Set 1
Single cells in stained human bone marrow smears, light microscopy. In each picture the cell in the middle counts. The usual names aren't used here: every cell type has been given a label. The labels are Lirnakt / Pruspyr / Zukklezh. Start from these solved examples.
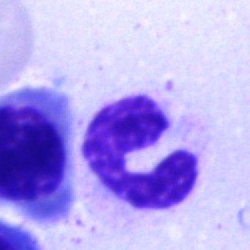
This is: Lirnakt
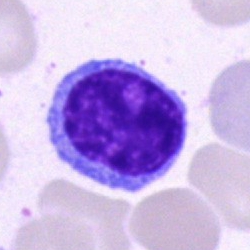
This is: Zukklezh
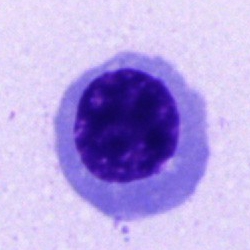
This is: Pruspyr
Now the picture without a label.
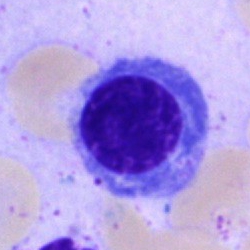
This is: Pruspyr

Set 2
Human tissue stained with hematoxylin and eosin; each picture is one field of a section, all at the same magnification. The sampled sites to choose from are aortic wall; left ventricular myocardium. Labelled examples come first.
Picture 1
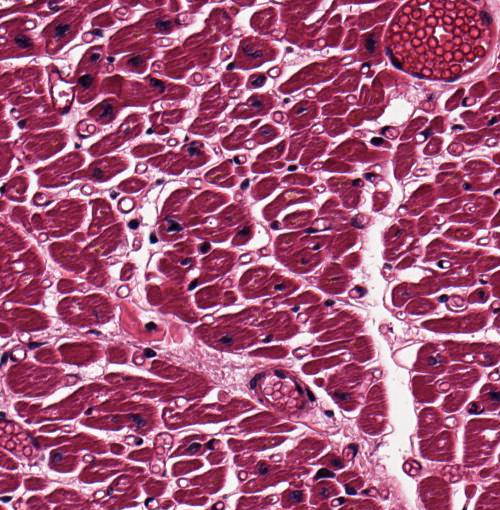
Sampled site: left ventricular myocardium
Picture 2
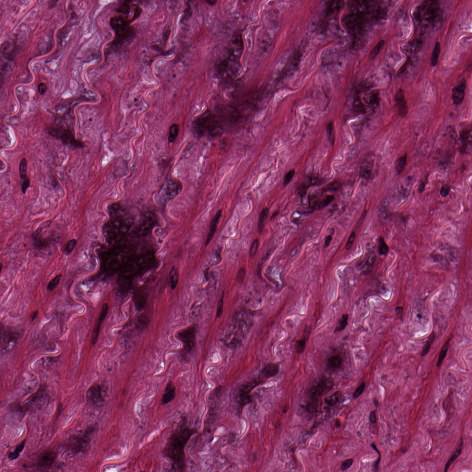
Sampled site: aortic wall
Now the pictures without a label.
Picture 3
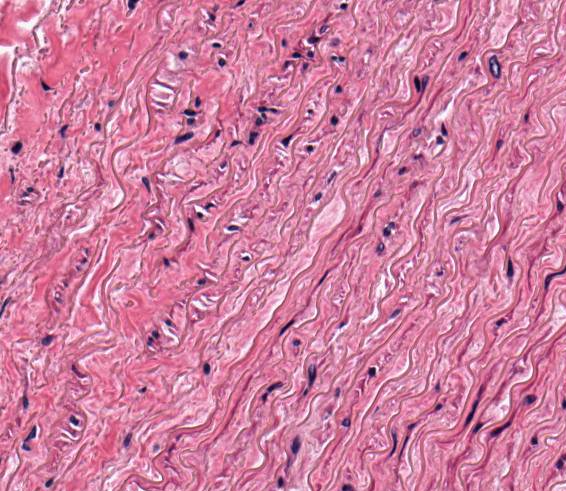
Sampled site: aortic wall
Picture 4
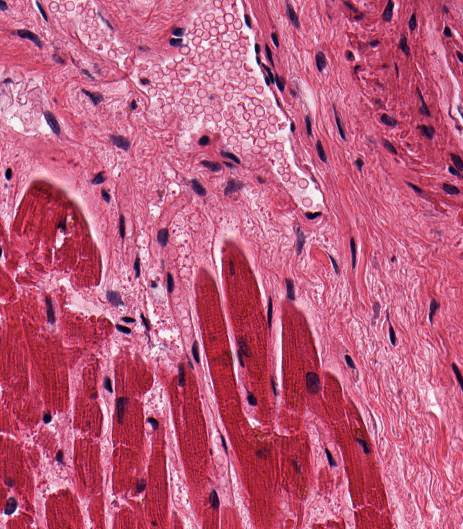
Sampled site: left ventricular myocardium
